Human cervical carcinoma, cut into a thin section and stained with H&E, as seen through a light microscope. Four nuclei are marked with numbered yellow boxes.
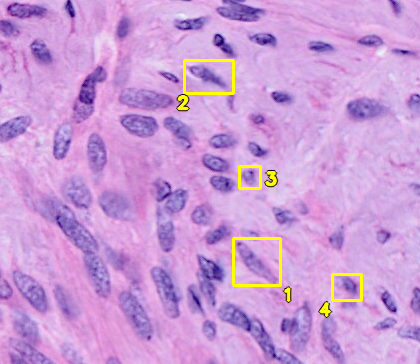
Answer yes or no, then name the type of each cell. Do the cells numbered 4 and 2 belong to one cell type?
No, the right answer is a smooth muscle cell for cell 4 and a fibroblast for cell 2.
